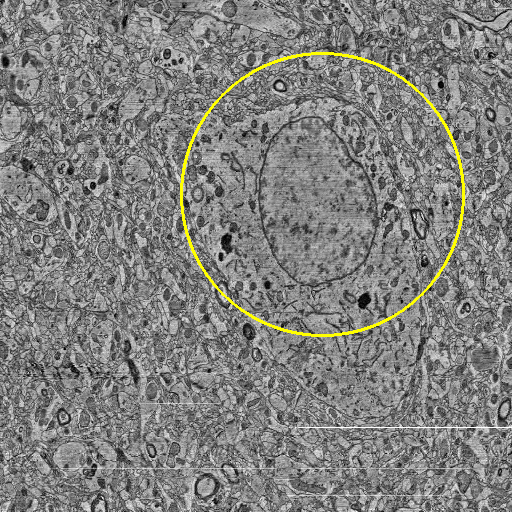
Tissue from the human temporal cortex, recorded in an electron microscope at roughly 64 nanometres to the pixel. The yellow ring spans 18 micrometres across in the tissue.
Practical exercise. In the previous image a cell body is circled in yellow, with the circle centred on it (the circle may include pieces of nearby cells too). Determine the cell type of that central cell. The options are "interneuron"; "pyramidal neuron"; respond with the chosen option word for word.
pyramidal neuron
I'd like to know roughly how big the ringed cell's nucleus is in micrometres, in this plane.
In this plane the nucleus measures roughly 11 by 8 micrometers.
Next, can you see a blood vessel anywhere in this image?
No, no blood vessel can be seen.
